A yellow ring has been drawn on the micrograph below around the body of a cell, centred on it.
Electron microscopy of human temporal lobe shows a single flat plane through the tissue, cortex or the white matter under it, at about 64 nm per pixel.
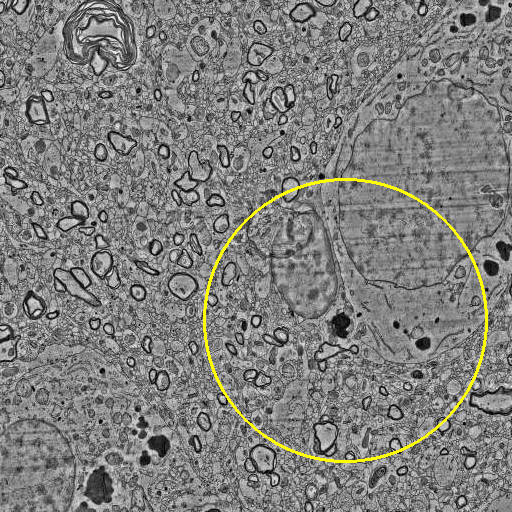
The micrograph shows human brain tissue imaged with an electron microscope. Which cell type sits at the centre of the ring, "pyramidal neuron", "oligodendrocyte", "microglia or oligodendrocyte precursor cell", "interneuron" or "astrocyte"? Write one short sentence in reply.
The cell sitting at the centre of the ring is an oligodendrocyte.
